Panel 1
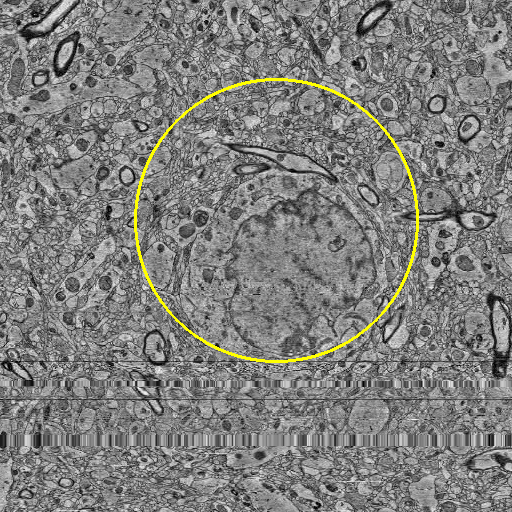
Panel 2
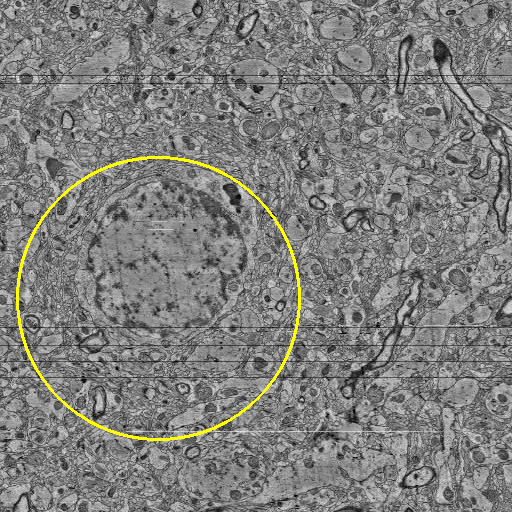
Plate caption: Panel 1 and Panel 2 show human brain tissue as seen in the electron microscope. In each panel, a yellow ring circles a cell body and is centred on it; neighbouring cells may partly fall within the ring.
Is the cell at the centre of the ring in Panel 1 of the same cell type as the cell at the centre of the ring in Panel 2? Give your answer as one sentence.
Yes, the two cells are of the same type.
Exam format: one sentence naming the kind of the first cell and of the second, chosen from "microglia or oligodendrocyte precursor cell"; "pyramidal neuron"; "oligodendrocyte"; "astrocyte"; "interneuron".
Each cell at the centre of a ring is an interneuron.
